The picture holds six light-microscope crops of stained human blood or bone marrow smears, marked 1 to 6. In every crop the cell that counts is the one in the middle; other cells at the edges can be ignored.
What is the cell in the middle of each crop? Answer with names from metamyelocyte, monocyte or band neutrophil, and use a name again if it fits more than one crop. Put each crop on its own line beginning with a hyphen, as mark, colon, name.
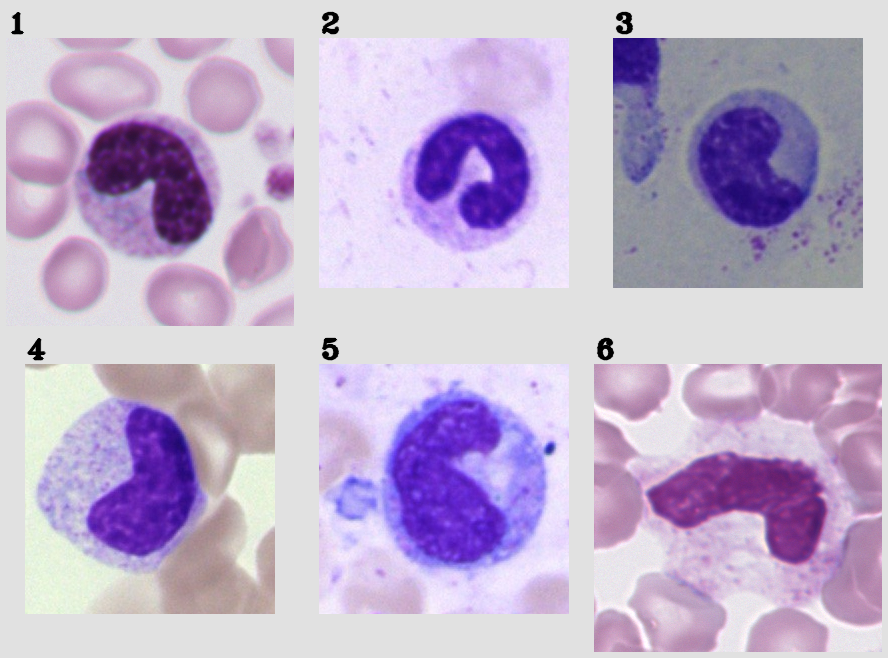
- 1: band neutrophil
- 2: band neutrophil
- 3: metamyelocyte
- 4: metamyelocyte
- 5: monocyte
- 6: band neutrophil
